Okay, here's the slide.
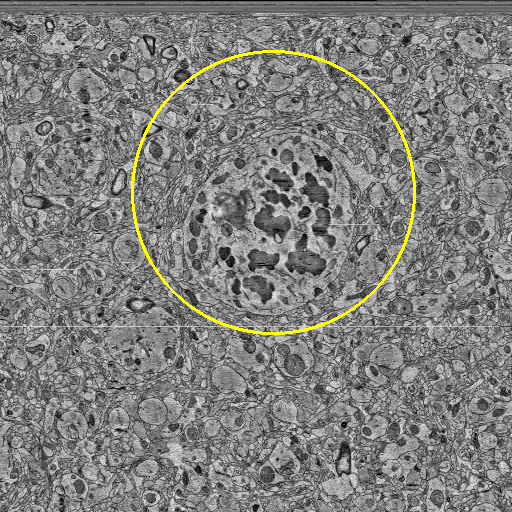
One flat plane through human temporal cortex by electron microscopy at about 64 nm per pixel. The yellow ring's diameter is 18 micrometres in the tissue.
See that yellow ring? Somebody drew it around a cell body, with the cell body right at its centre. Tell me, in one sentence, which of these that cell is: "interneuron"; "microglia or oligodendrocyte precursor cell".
The cell in the middle of the ring is an interneuron.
